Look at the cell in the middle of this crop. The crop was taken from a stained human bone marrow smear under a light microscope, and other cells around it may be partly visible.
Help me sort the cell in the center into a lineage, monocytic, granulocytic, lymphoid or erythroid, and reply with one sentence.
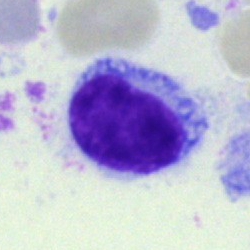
The middle cell of the crop belongs with the cells of the lymphoid lineage.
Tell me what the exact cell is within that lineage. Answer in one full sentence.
As for the central cell, it is a hairy cell.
